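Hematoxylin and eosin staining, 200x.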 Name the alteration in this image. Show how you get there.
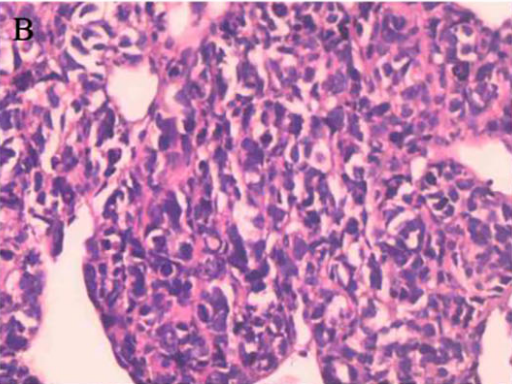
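Large dark irregular nuclei. Nuclei are large and deeply stained purple. Nuclear outlines are irregular and vary in shape. Nuclei take up most of each cell, with little cytoplasm.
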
